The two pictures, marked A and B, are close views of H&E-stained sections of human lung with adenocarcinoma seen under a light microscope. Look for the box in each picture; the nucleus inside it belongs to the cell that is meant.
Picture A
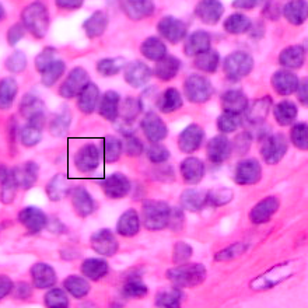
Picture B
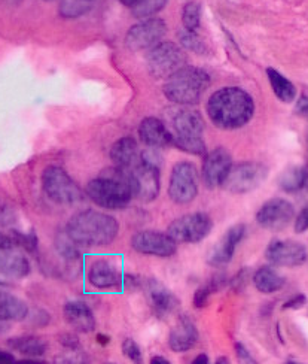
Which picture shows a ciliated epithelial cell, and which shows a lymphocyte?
A: lymphocyte
B: ciliated epithelial cell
